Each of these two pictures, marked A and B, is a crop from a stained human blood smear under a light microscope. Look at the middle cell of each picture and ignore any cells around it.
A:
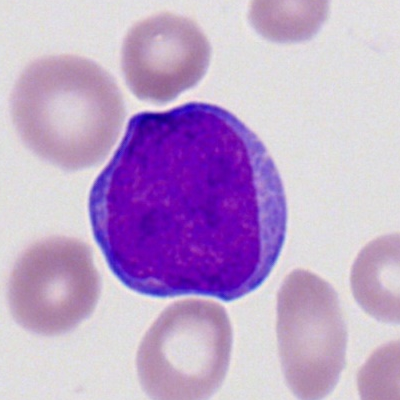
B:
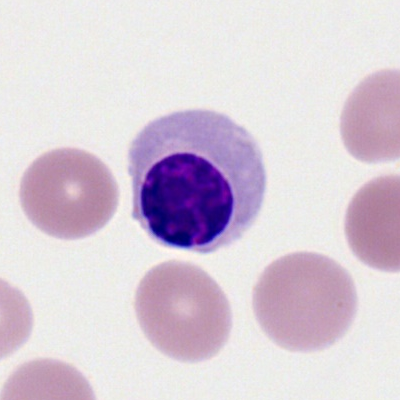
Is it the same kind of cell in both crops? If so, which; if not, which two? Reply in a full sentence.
No, the cell that crop A shows is a myeloblast, and the one crop B shows is a normoblast.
